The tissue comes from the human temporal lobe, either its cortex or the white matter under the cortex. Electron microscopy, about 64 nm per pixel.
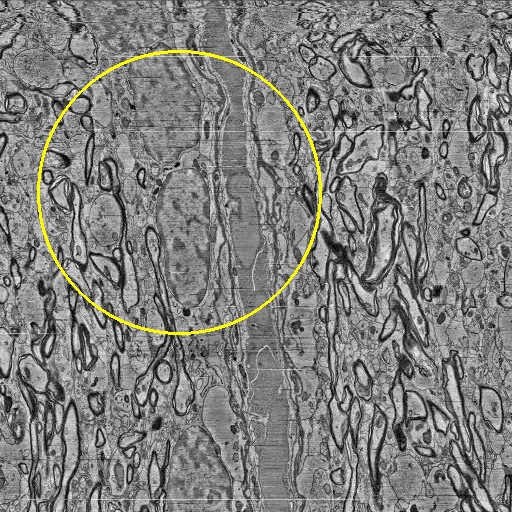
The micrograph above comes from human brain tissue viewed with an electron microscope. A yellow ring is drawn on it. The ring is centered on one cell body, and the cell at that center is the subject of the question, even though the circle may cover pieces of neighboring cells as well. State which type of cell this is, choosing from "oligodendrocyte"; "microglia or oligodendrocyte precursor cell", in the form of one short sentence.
The cell the ring is centered on is a microglial cell or oligodendrocyte precursor cell.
